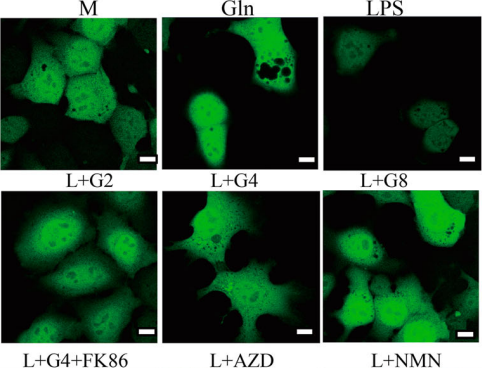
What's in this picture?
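The cells are flat and polygonal to irregular, with broad cytoplasm and a few short, angular extensions. Adjacent cells touch along straight edges. Each cell has one large, round to oval nucleus that looks slightly brighter or more evenly green than the cytoplasm around it. The cytoplasm has a fine, dotted texture. In one image, a cell contains several round dark holes that look like vacuoles. The brightness of the green differs clearly between images, from faint to intense.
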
